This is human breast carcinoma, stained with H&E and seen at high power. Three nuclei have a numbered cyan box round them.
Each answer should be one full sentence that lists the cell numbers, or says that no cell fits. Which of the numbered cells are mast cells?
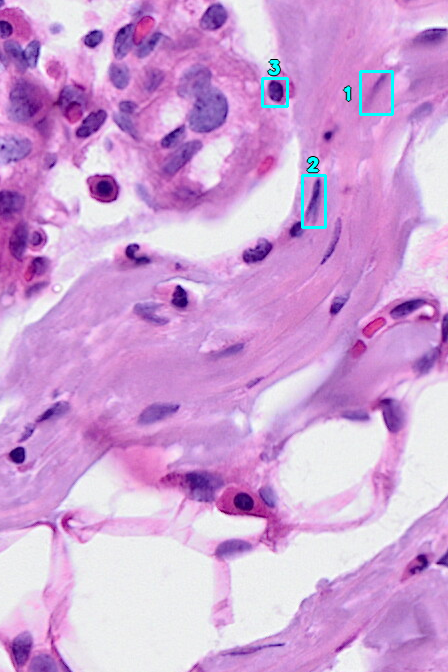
Cell 3 is a mast cell, and it is the only numbered cell that is.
